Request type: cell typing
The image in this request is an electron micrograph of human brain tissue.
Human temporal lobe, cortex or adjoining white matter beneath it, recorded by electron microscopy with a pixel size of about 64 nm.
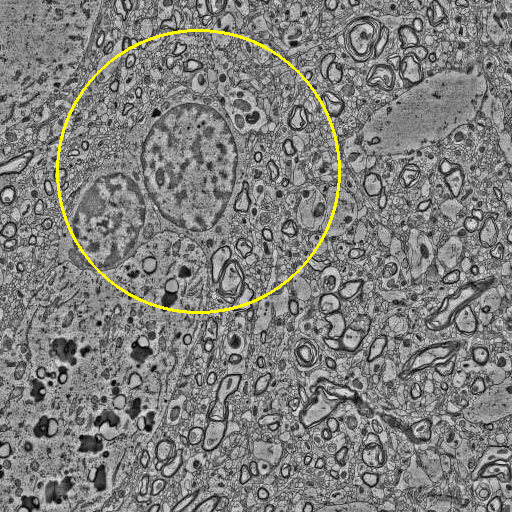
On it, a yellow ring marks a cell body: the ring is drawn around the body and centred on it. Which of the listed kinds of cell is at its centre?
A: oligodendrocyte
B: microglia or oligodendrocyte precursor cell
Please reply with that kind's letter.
A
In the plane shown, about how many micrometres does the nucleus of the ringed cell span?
In this plane, roughly 8 by 6 micrometres.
